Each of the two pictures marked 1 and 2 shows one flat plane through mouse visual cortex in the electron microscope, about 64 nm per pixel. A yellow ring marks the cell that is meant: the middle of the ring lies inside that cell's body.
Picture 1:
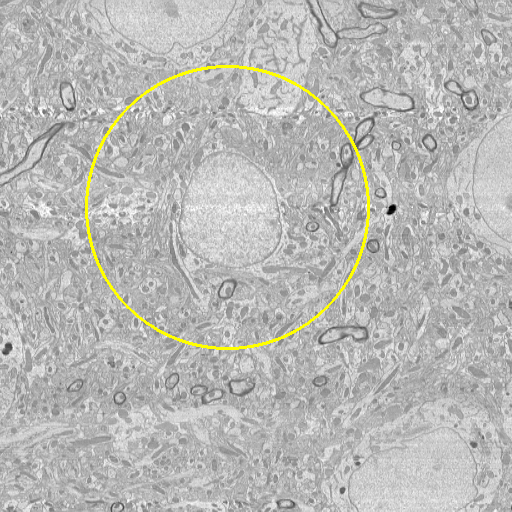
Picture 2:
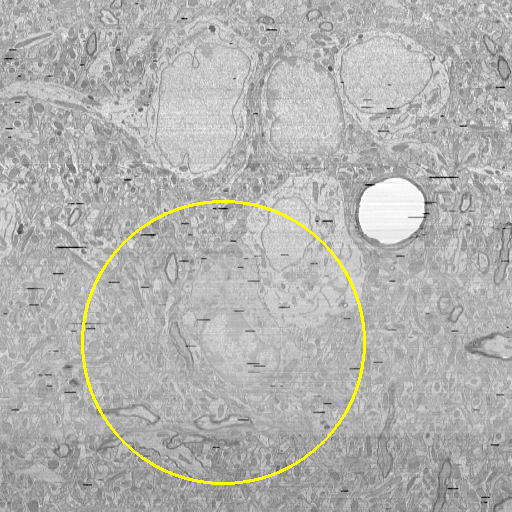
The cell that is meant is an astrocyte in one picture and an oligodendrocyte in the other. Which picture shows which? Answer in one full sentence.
In picture 1 the cell is an astrocyte; in picture 2, an oligodendrocyte.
